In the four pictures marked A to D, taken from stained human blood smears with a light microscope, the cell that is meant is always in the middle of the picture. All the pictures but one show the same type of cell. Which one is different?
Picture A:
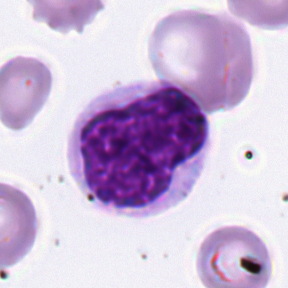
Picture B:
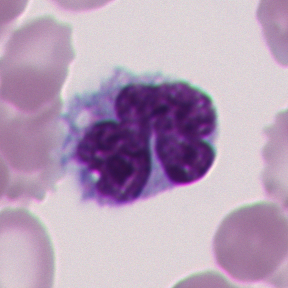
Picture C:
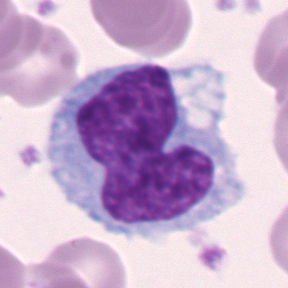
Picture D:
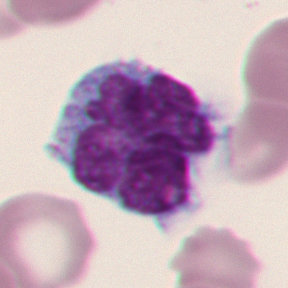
A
